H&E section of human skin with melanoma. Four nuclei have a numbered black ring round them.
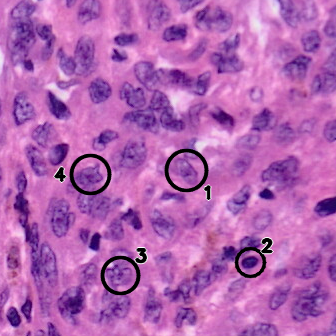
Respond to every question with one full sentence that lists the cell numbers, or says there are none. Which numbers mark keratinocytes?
Taken together, the numbered cells include no keratinocytes.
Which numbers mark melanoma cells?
When it comes to cells 1, 3 and 4, they are melanoma cells.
